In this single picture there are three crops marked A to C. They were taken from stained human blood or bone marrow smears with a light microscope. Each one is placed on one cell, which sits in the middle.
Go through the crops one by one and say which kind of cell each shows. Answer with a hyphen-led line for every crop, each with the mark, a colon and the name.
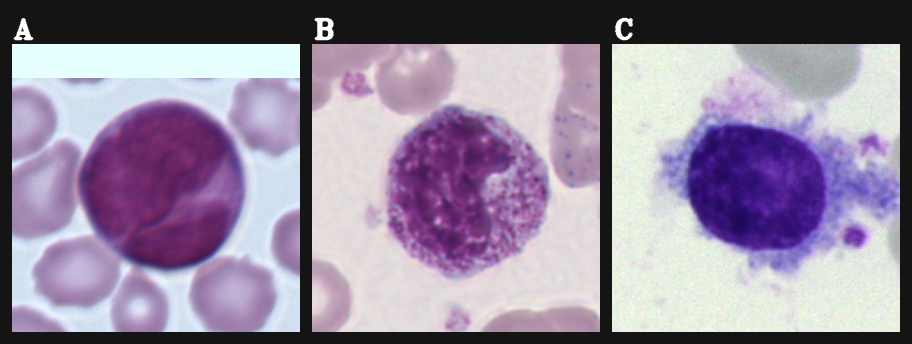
- A: blast
- B: metamyelocyte
- C: hairy cell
